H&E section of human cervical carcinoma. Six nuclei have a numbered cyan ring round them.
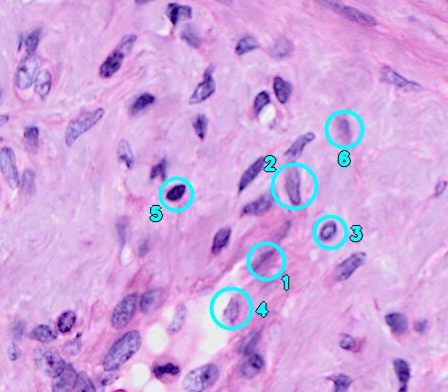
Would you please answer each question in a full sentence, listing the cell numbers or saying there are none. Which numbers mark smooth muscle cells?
Each of the cells numbered 2, 3 and 6 is among the smooth muscle cells.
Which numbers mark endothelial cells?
To be specific, the cells numbered 1 and 4 are endothelial cells.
